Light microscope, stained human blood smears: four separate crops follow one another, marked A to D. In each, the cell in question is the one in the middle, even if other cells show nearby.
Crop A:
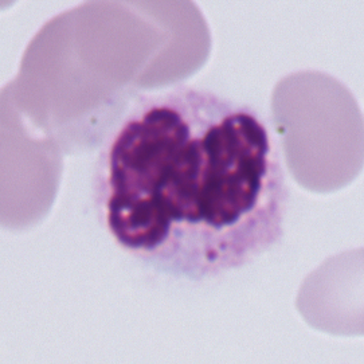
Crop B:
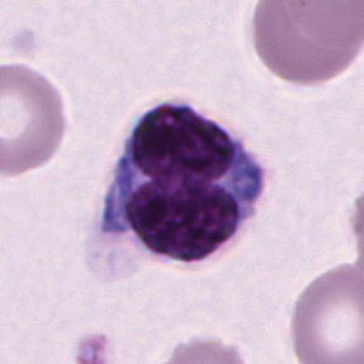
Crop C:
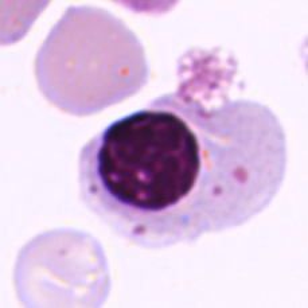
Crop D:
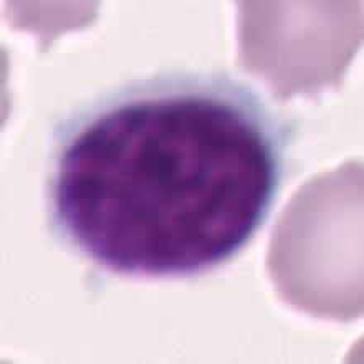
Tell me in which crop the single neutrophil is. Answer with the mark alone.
A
